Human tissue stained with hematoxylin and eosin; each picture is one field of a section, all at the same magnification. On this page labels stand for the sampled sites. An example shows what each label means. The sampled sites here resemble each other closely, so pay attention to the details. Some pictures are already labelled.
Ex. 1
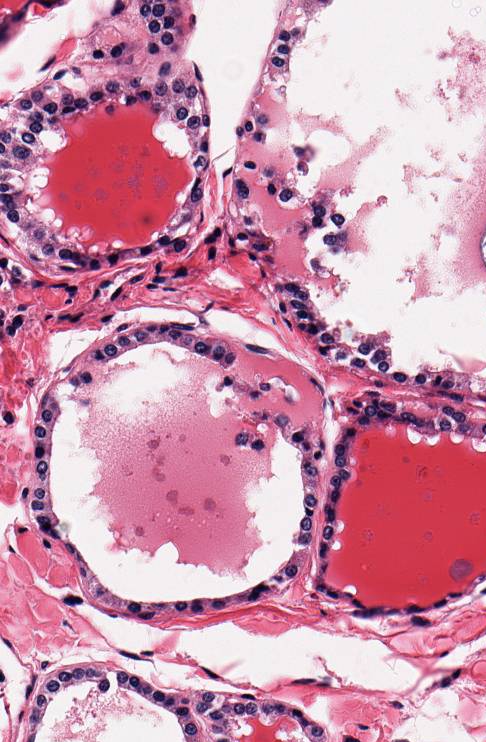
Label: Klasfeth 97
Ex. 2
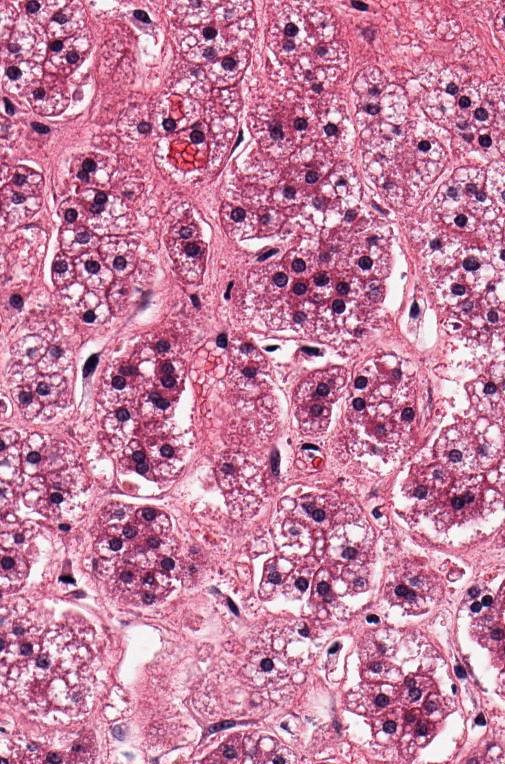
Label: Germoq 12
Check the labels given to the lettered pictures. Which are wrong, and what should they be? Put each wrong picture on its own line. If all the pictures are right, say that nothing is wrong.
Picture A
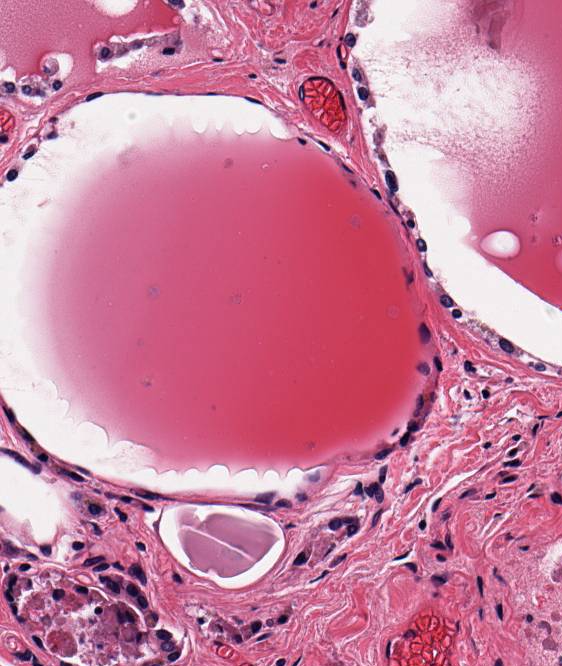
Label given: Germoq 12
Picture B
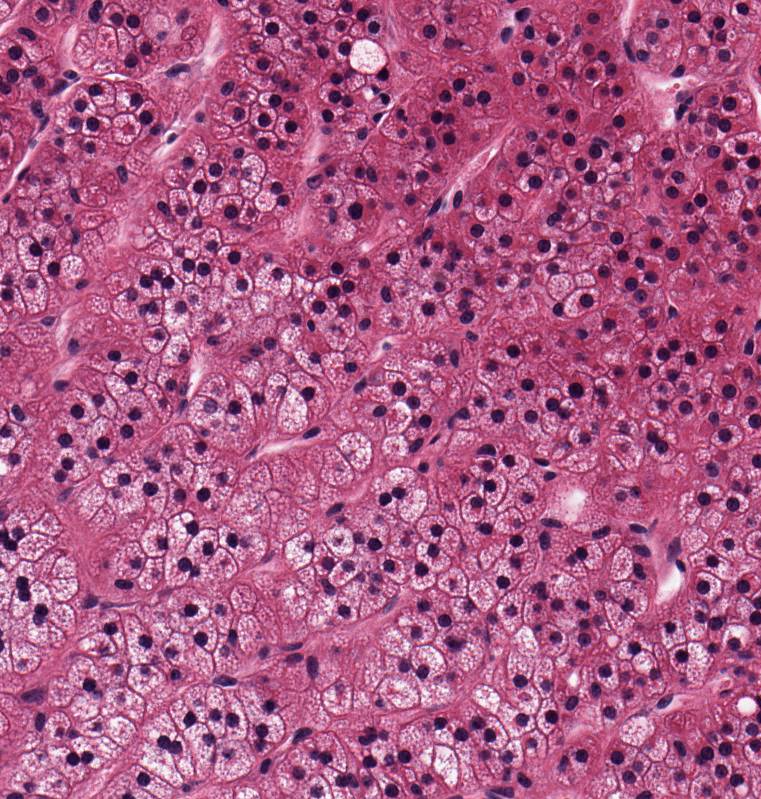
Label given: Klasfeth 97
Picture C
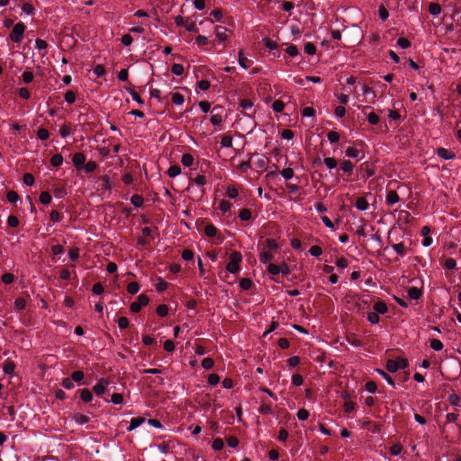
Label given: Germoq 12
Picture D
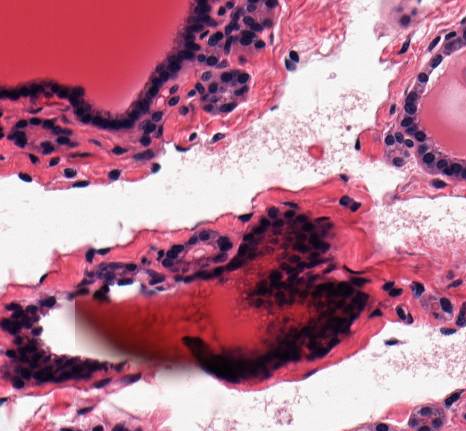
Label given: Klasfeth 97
A should be Klasfeth 97, not Germoq 12
B should be Germoq 12, not Klasfeth 97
